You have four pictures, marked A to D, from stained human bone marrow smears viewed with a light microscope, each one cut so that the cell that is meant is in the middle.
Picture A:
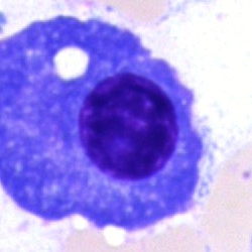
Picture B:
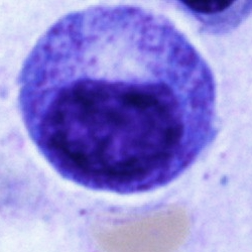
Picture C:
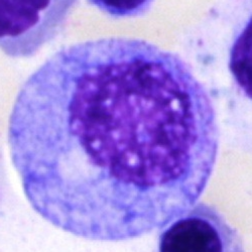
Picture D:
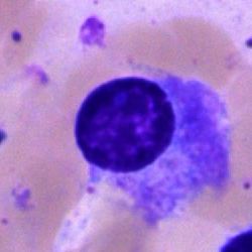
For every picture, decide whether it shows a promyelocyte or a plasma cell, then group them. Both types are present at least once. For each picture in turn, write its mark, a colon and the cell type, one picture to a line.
A: plasma cell
B: promyelocyte
C: promyelocyte
D: plasma cell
